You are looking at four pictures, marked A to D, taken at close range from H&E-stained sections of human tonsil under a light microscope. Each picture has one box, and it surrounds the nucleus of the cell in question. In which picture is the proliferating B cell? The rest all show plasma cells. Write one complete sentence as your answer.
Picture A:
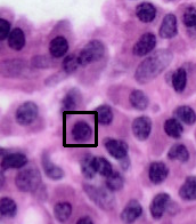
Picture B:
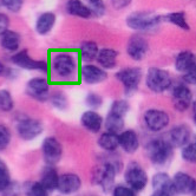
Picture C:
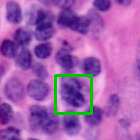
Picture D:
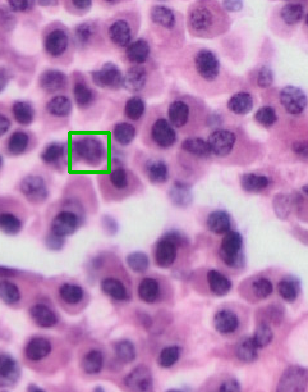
It is picture C that shows the proliferating B cell.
